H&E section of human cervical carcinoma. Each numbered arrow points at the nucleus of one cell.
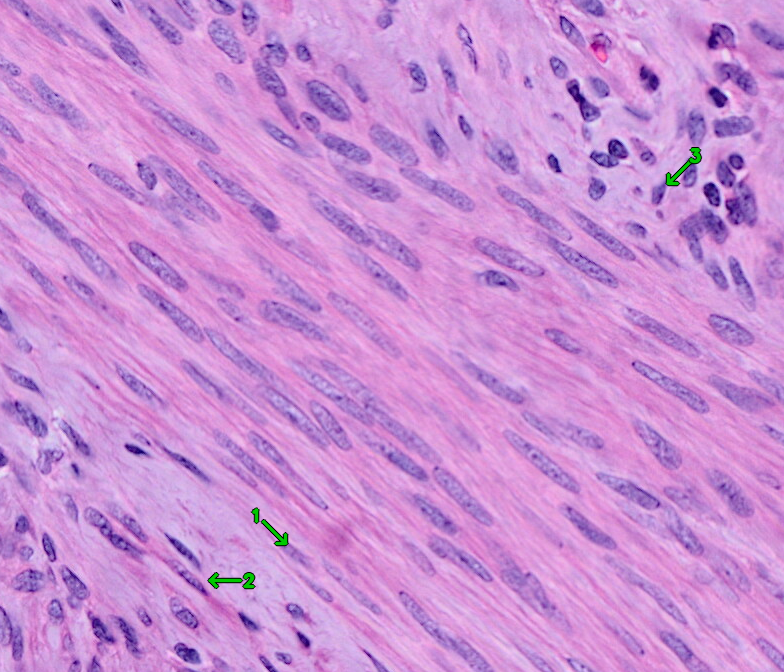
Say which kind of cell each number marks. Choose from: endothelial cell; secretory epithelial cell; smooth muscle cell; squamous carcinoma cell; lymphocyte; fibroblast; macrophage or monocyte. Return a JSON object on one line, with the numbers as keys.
{"1": "smooth muscle cell", "2": "smooth muscle cell", "3": "fibroblast"}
